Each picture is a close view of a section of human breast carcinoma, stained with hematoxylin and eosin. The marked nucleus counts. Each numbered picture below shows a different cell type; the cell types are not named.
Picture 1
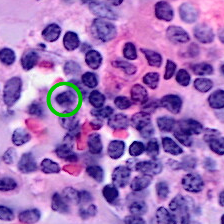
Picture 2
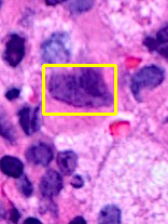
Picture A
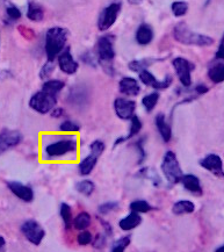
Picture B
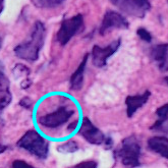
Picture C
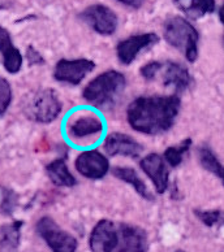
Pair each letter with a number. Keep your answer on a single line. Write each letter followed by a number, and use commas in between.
A 1, B 2, C 2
